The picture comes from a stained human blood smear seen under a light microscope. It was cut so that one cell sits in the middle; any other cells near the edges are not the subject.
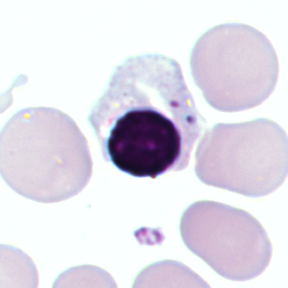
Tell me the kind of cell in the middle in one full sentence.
The cell at the central position in this crop is a normoblast.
